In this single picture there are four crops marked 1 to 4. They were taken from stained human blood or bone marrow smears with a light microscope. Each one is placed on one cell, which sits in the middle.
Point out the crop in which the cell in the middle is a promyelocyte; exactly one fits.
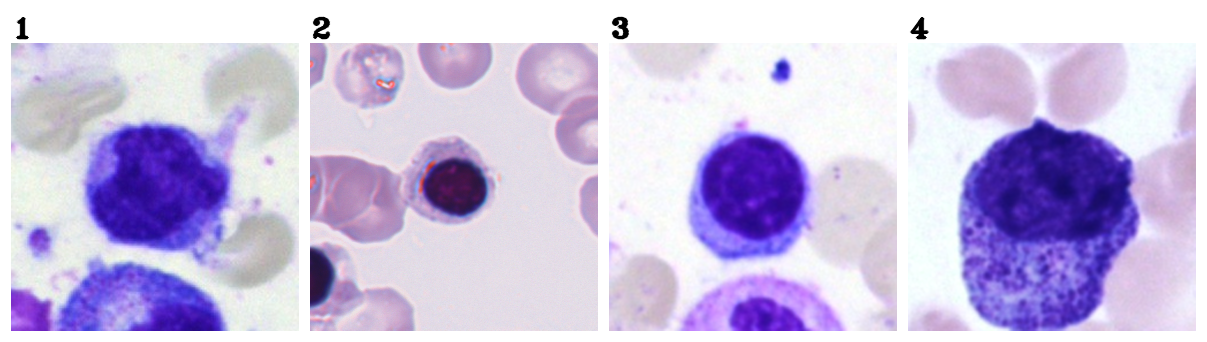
4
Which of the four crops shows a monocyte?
1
